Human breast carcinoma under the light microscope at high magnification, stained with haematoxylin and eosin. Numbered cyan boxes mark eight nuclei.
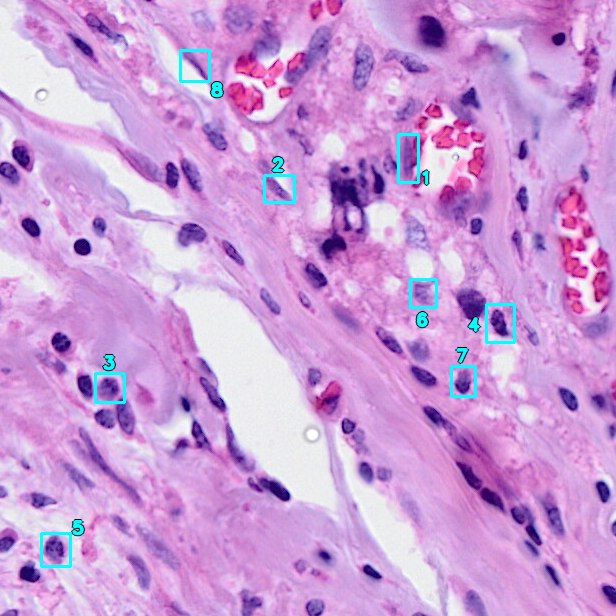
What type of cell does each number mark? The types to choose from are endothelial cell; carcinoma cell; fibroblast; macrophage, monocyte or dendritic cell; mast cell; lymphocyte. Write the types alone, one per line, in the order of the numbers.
endothelial cell
fibroblast
mast cell
lymphocyte
mast cell
fibroblast
lymphocyte
fibroblast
